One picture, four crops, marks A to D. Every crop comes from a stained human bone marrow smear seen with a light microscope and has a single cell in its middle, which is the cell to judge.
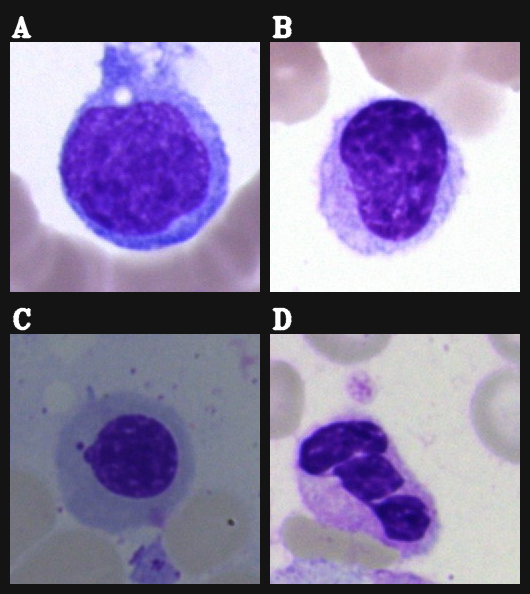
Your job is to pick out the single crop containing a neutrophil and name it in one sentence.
Within this set, crop D is the one with a neutrophil at its center.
